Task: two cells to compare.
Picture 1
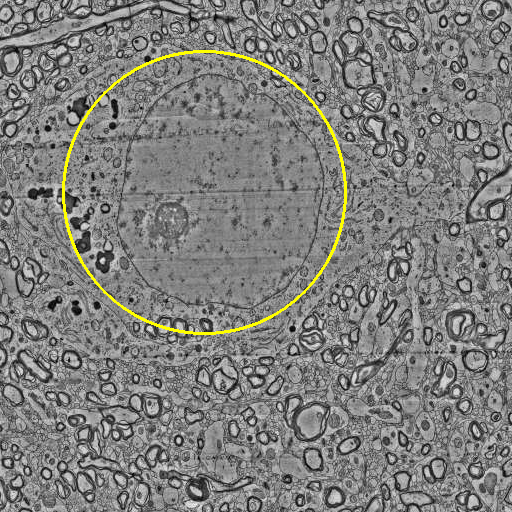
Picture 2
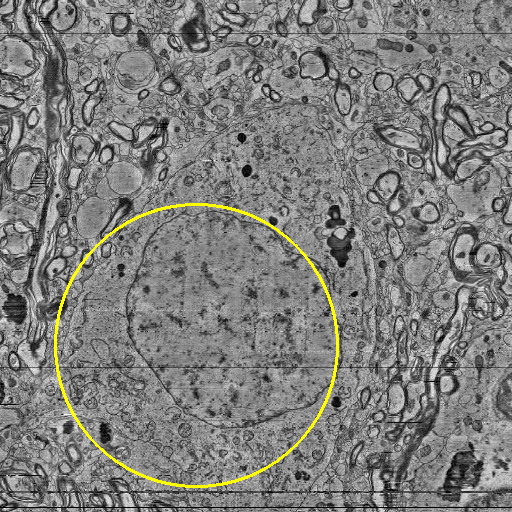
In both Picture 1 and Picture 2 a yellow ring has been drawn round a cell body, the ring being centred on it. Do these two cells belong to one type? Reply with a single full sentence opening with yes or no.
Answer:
Yes, the two cells at the ring centres in Picture 1 and Picture 2 share one type.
